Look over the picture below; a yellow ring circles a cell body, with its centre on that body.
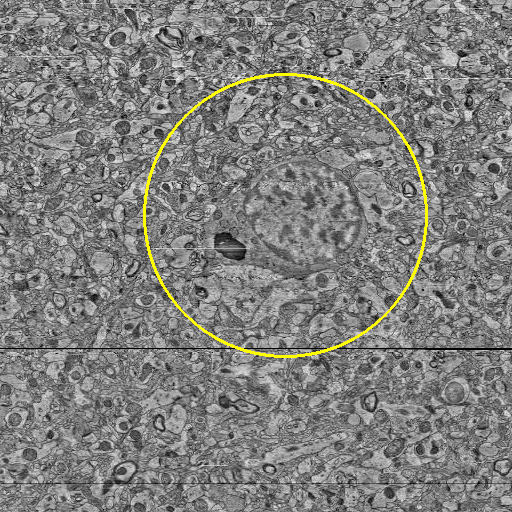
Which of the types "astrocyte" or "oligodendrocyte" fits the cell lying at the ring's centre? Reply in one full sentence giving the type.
The picture shows an oligodendrocyte at the centre of the yellow ring.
